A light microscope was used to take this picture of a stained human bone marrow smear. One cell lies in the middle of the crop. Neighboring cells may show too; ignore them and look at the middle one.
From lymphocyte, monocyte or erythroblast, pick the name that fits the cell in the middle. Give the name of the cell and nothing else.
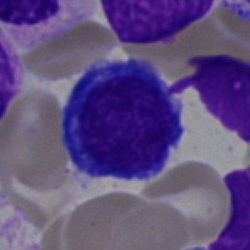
erythroblast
